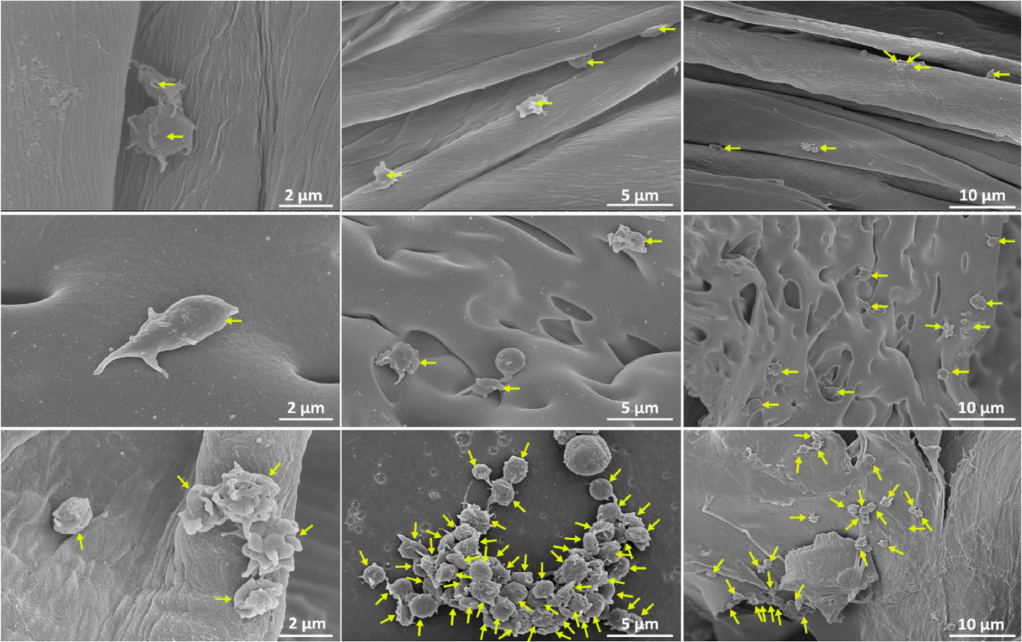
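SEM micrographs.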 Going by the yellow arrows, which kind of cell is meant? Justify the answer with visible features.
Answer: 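Platelets. Marked bodies are small, about 1–3 µm across against the scale bars. They are rounded to flattened with short spiky or ruffled projections. They lie on fibre or sheet-like material surfaces, some clumped together.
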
